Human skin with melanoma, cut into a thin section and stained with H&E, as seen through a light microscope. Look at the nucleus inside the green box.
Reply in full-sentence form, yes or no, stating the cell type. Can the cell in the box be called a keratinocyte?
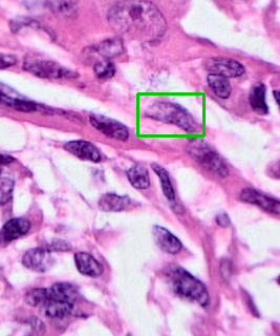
No, the cell in the box does not represent a keratinocyte; it represents a melanoma cell.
